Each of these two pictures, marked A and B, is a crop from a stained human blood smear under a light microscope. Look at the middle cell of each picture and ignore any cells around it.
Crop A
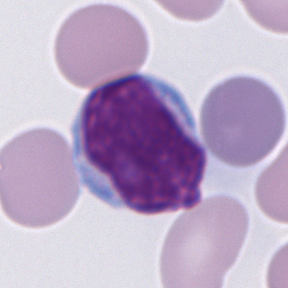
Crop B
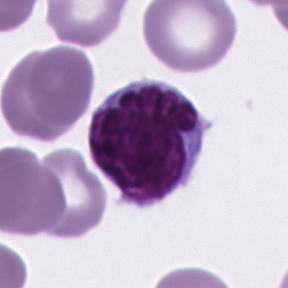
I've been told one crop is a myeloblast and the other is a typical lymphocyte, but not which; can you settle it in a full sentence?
Crop A is to be read as a typical lymphocyte and crop B as a myeloblast.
